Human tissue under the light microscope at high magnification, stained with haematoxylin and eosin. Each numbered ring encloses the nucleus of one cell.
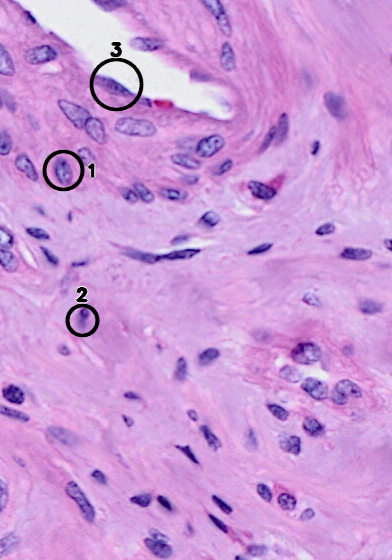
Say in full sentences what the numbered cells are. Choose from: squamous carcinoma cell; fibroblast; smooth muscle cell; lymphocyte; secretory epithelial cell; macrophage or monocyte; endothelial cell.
Cell 1 is a smooth muscle cell, cell 2 is a fibroblast and cell 3 is an endothelial cell.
